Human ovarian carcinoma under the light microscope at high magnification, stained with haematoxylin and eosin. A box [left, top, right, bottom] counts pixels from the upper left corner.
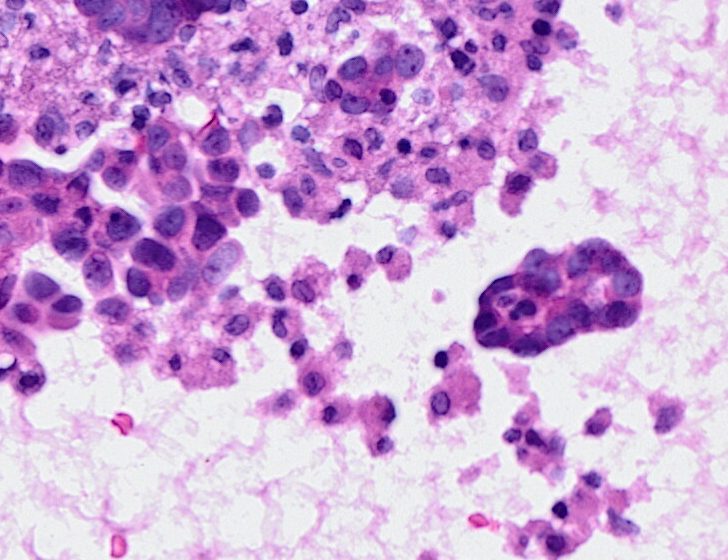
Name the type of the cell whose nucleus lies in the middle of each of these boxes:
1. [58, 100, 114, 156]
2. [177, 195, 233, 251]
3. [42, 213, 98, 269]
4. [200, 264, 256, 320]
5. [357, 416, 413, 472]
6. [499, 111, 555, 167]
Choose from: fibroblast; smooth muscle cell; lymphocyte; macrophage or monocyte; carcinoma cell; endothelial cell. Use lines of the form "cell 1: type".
cell 1: macrophage or monocyte
cell 2: carcinoma cell
cell 3: carcinoma cell
cell 4: macrophage or monocyte
cell 5: macrophage or monocyte
cell 6: macrophage or monocyte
